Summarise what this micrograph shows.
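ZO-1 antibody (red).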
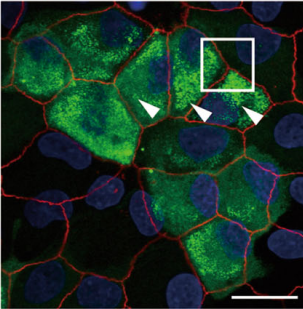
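A confluent monolayer of epithelial cells is seen from above, each cell outlined by a continuous red line at its borders, forming a polygonal network. Each cell holds one oval blue nucleus. A cluster of cells has green, granular cytoplasm, with brighter green patches in places, while neighbouring cells are unstained in green. Some of the red borders run slightly irregular in course.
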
